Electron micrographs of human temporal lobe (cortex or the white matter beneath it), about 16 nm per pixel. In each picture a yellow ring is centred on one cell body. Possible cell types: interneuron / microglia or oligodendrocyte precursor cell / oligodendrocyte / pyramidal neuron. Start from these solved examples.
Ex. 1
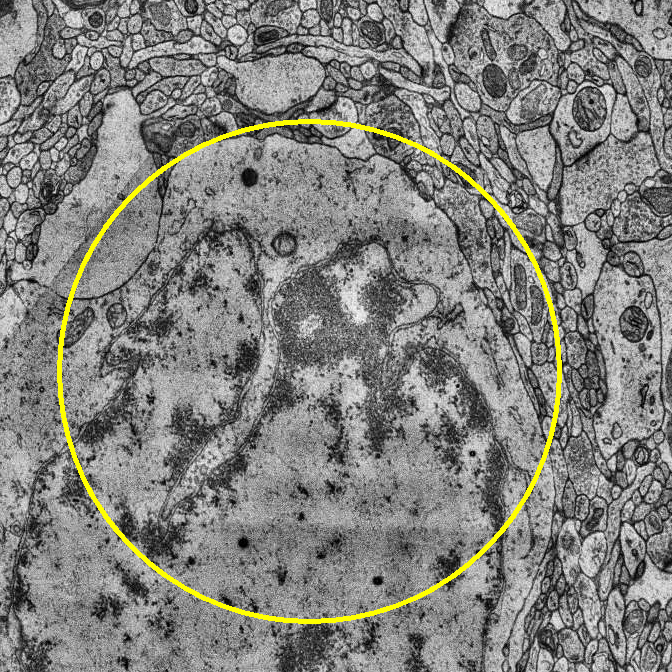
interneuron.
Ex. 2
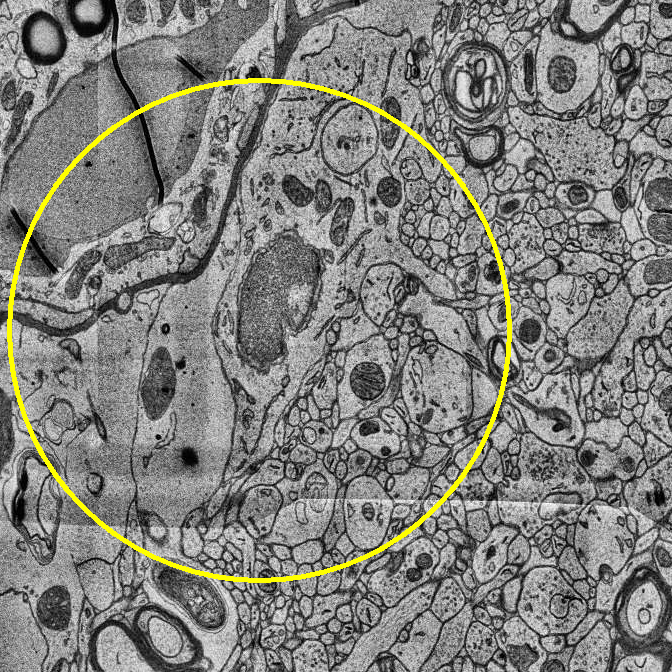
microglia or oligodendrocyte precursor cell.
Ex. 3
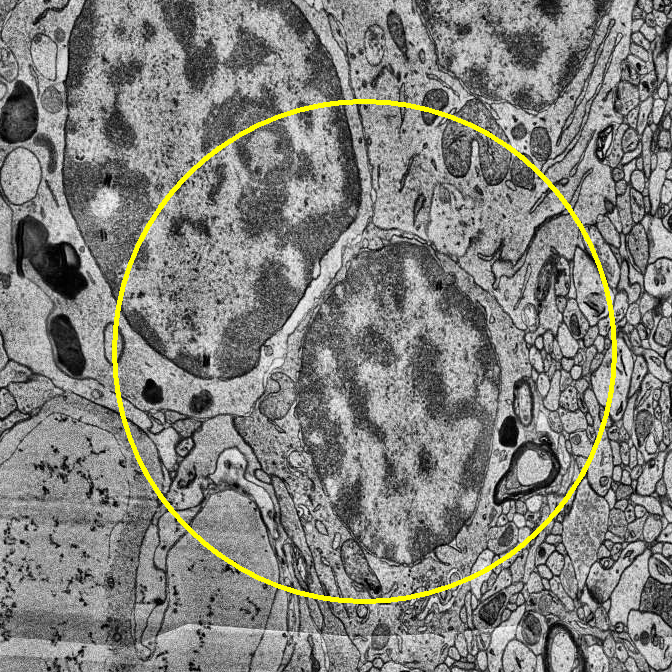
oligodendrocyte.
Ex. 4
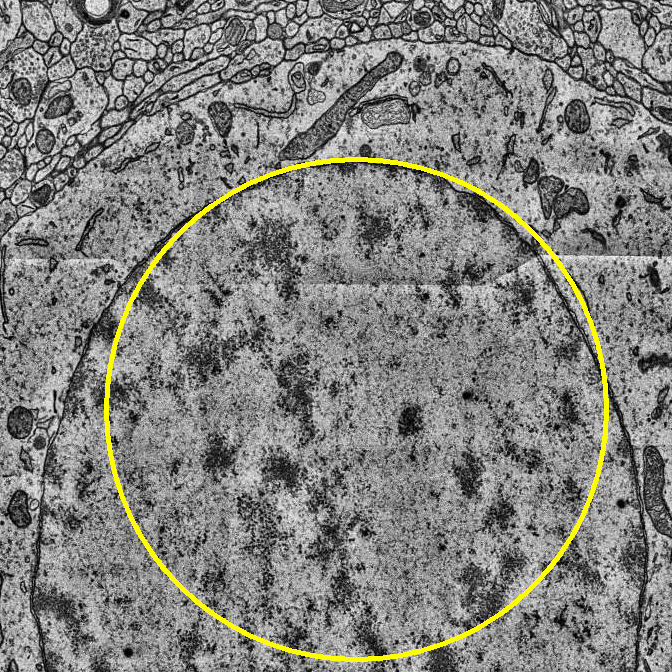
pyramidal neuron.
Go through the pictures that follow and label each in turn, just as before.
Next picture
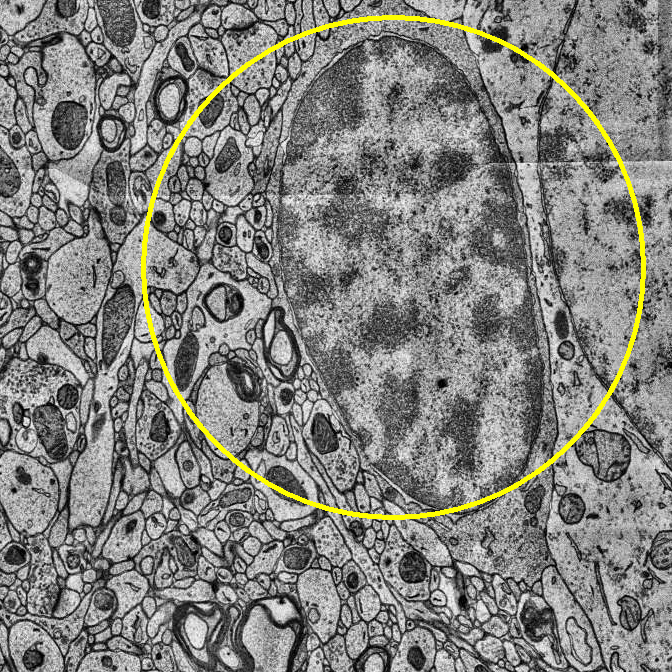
oligodendrocyte.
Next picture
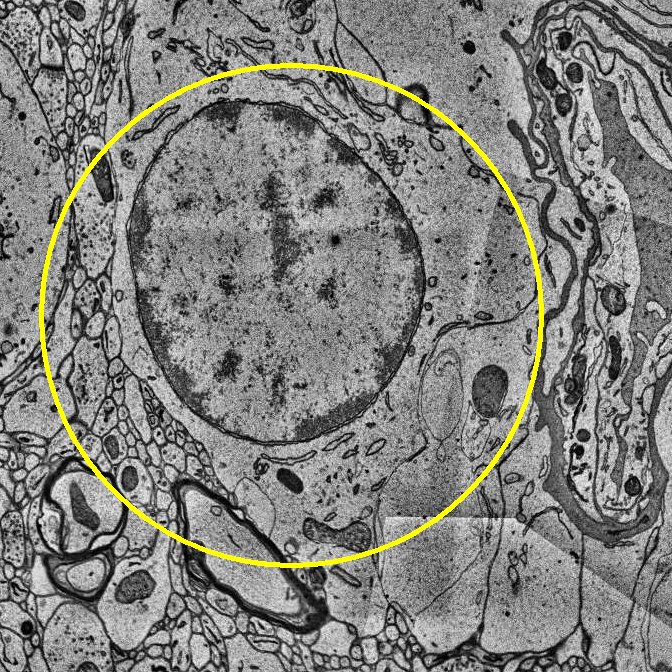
microglia or oligodendrocyte precursor cell.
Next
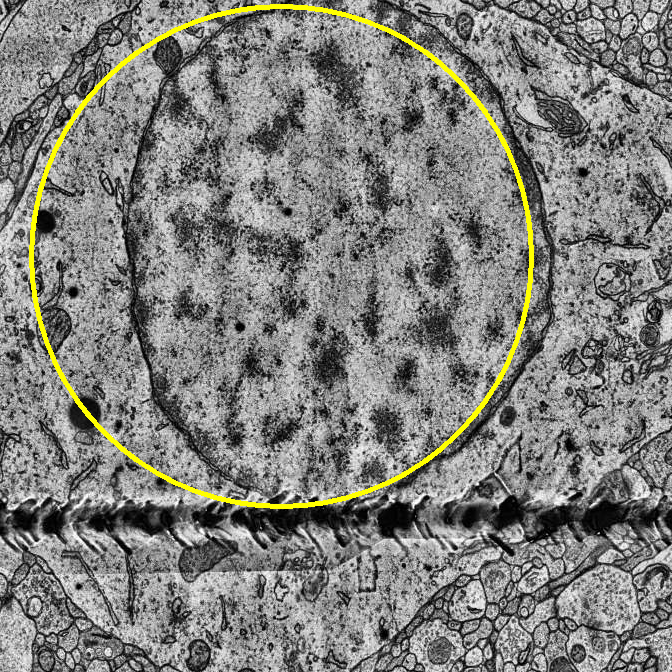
pyramidal neuron.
